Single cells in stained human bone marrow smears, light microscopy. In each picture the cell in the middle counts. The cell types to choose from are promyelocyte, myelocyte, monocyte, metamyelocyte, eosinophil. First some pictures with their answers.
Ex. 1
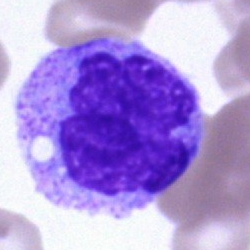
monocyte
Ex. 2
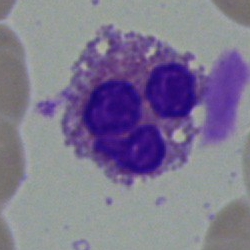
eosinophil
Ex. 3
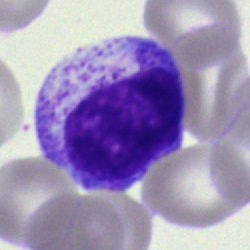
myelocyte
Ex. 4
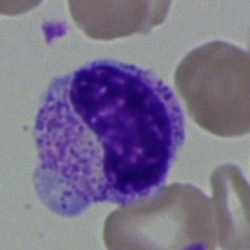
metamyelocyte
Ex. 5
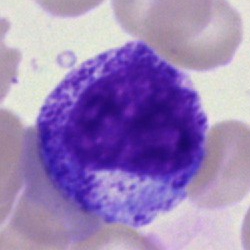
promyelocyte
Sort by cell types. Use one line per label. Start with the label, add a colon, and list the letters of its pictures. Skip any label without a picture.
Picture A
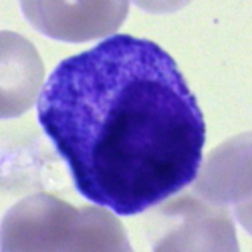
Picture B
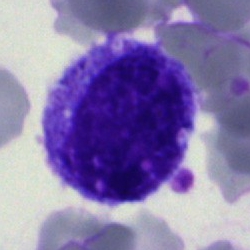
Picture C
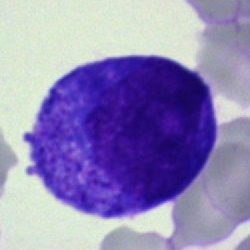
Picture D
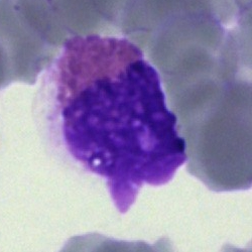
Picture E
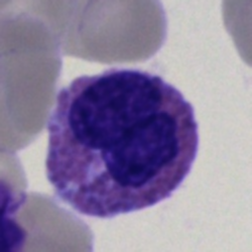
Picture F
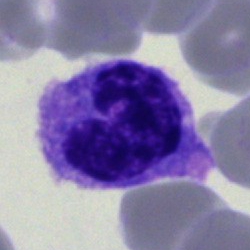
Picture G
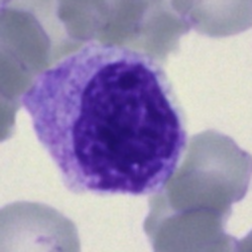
promyelocyte: A, B, C
myelocyte: G
monocyte: F
eosinophil: D, E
